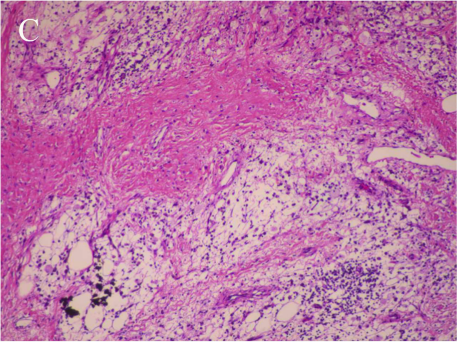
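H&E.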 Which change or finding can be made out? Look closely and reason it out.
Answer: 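Many small round cells with dark nuclei lie scattered and clustered through the tissue. The small dark cells sit among pink fibrous bands and clear fat vacuoles. On this evidence: inflammatory cell infiltration.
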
